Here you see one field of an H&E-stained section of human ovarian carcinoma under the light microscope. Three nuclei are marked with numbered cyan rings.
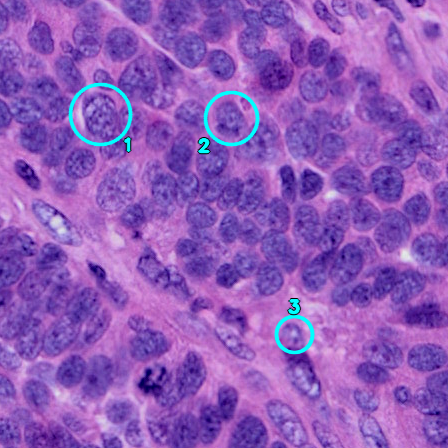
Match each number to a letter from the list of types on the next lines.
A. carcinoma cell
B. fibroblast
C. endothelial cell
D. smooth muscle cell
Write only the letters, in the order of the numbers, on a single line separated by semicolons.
A; A; B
